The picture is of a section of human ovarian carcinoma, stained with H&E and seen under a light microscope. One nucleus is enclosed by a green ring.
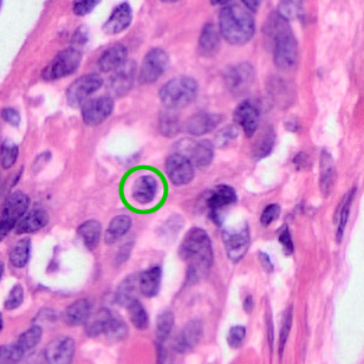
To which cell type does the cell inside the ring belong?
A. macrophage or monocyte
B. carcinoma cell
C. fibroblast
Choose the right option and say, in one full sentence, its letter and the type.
Option A holds, since the cell inside the ring is a macrophage or monocyte.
